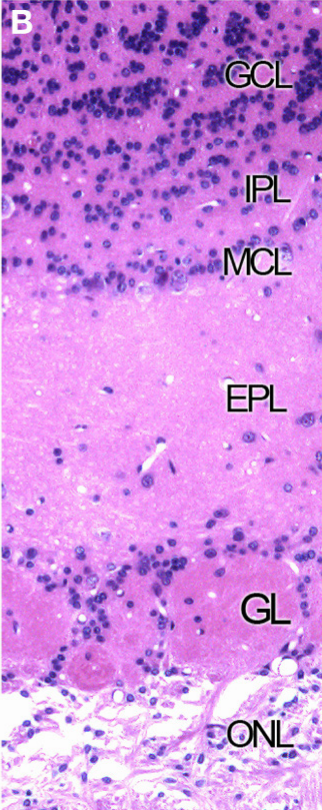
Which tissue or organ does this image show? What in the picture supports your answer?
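Rounded pink islands of neuropil ringed by dense small dark nuclei. A broad pale pink layer with few nuclei lies above the ringed islands. A dense band of small dark nuclei lies at the top. A loose pale fibrous layer lies at the bottom. That points to this answer: Olfactory bulb.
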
